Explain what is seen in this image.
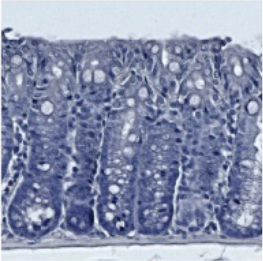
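This section shows colonic mucosa with tall, closely packed crypts cut along their length, running from the surface epithelium at the top to a thin muscle layer at the bottom. Narrow strips of connective tissue with scattered nuclei separate neighbouring crypts. The surface epithelium forms a continuous edge along the top. The stain appears mainly blue-purple, with little pink.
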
